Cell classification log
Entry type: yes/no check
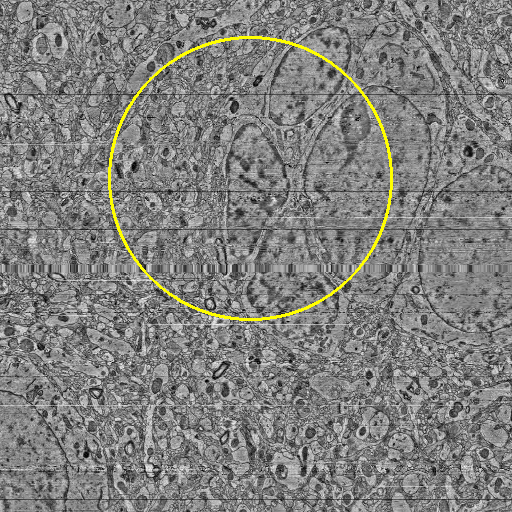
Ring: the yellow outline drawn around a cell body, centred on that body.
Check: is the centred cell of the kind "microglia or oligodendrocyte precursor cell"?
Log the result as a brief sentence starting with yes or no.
Yes, the cell is of that kind.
